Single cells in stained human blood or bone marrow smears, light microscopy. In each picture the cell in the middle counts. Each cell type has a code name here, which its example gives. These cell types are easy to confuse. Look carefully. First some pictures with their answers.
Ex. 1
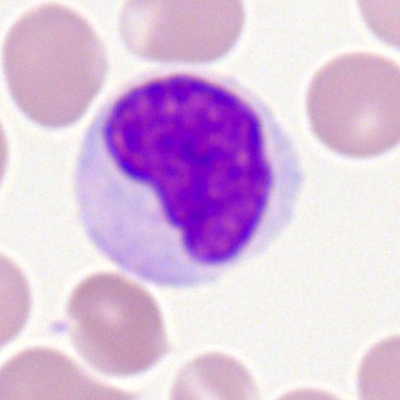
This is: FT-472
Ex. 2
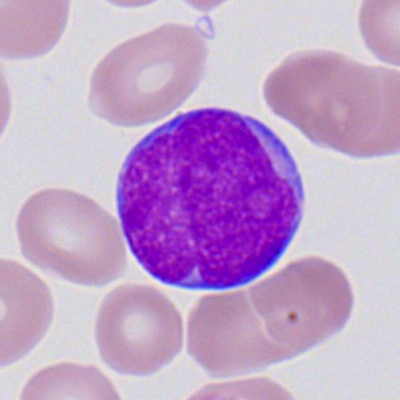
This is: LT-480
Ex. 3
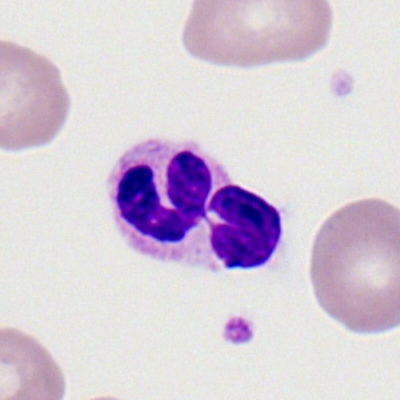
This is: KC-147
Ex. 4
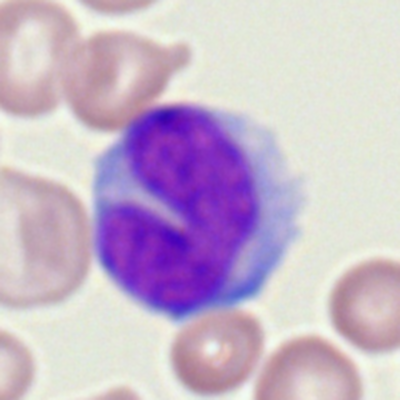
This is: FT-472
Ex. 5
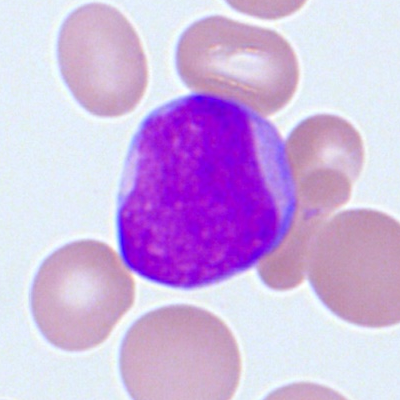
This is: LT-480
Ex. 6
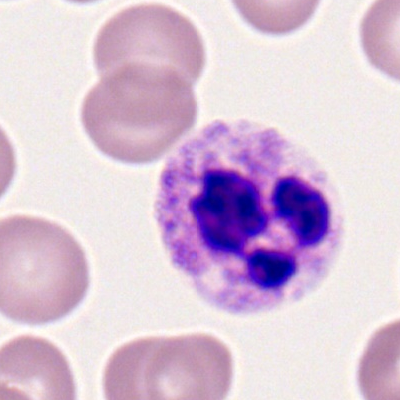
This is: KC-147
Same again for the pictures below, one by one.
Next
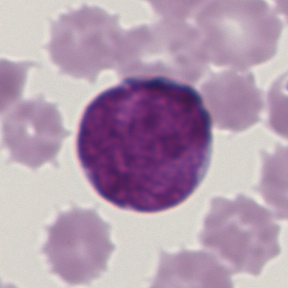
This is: LT-480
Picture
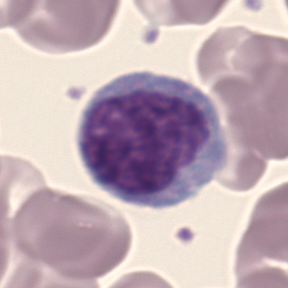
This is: FT-472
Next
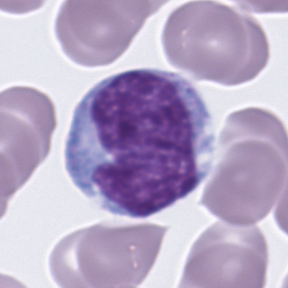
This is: FT-472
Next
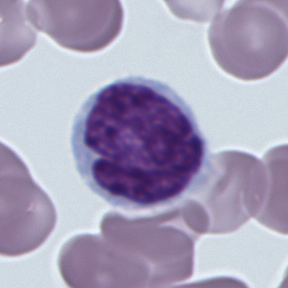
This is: FT-472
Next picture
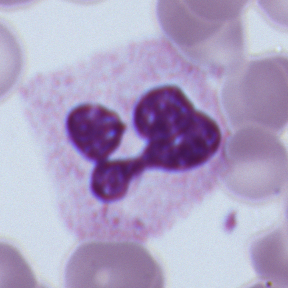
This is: KC-147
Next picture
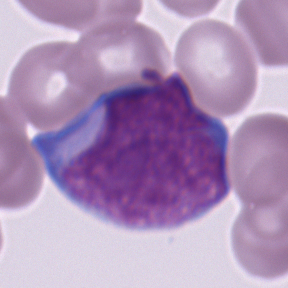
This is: LT-480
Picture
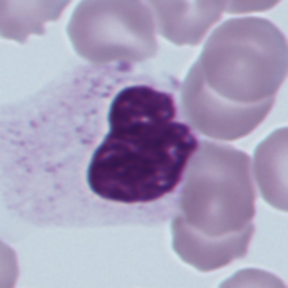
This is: KC-147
